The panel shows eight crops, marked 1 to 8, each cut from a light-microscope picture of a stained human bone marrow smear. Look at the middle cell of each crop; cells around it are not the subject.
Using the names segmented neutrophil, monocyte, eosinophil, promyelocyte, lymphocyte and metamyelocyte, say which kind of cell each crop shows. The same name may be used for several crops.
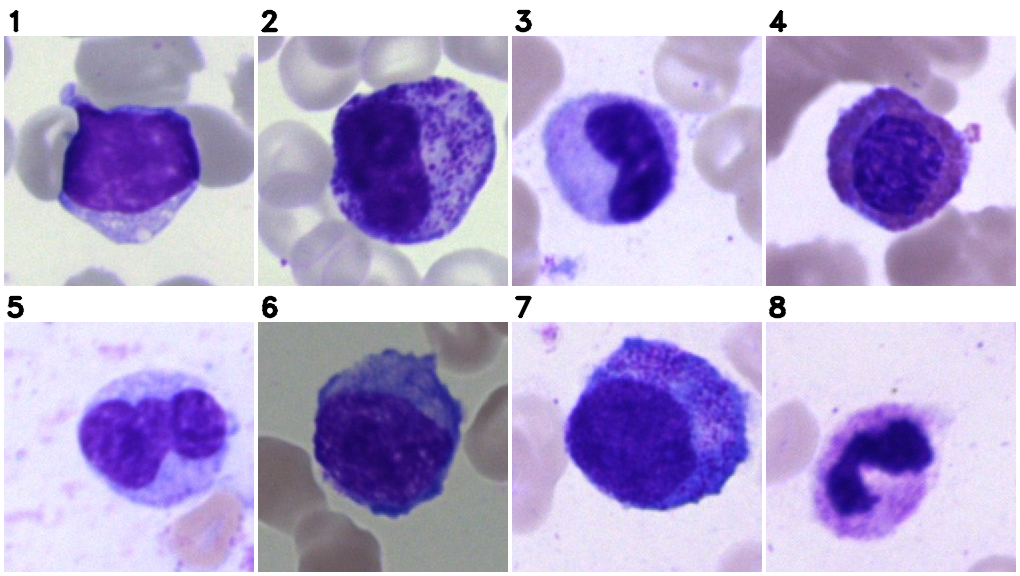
1: lymphocyte
2: metamyelocyte
3: metamyelocyte
4: eosinophil
5: monocyte
6: promyelocyte
7: promyelocyte
8: segmented neutrophil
